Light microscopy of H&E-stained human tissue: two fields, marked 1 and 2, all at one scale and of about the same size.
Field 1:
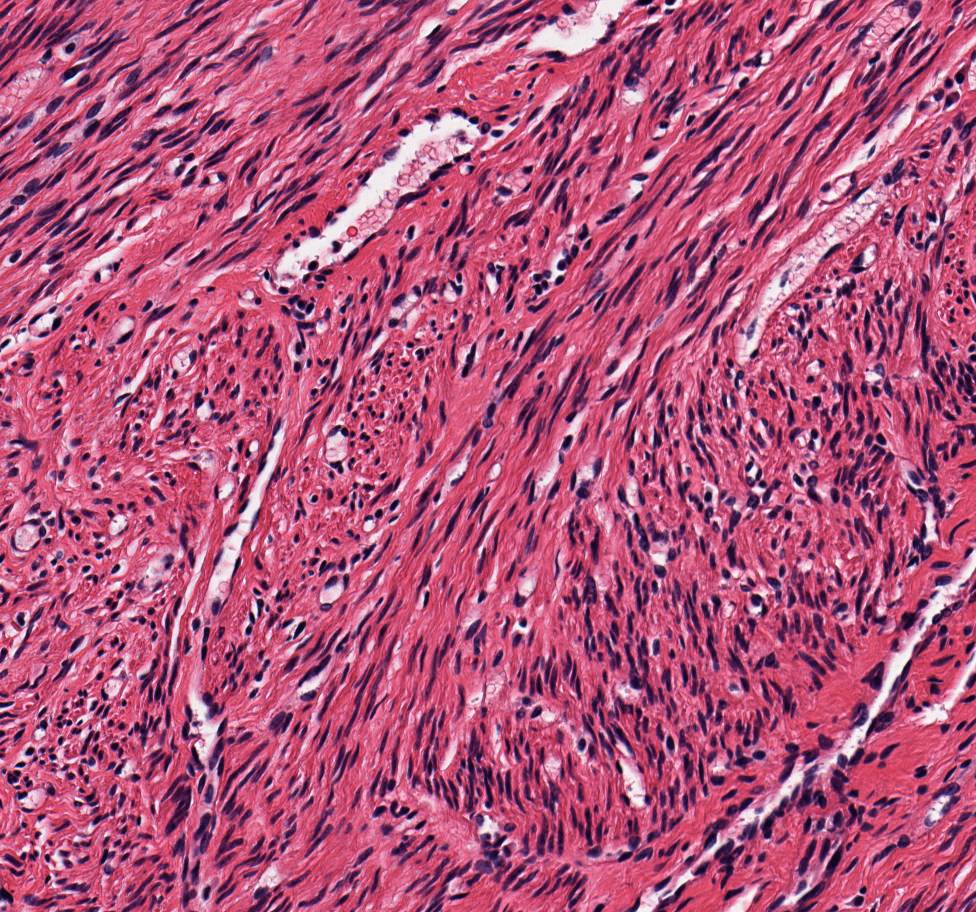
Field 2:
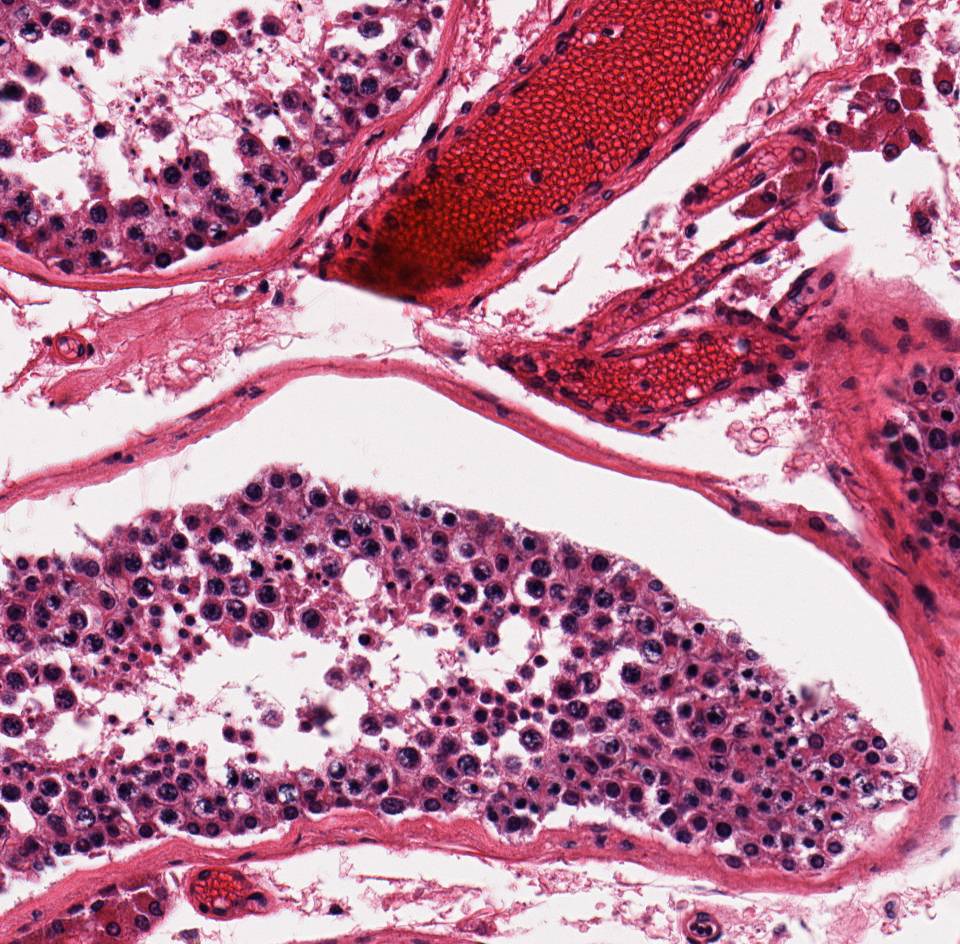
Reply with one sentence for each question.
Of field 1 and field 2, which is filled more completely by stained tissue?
Less of field 1 is empty and white.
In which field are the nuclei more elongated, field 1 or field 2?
Longer, more slender nuclei lie in field 1.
